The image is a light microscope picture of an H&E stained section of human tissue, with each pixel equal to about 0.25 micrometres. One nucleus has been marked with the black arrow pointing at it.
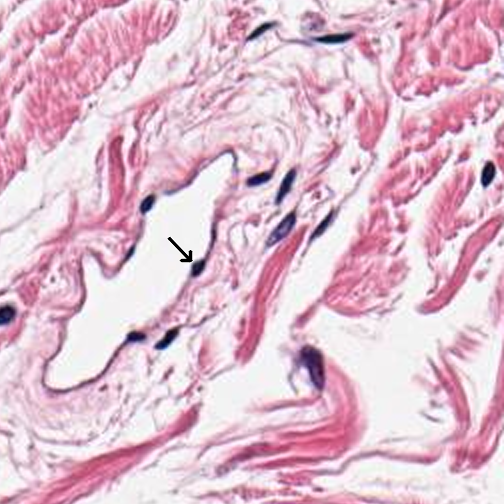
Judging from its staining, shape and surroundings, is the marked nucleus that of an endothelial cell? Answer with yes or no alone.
yes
